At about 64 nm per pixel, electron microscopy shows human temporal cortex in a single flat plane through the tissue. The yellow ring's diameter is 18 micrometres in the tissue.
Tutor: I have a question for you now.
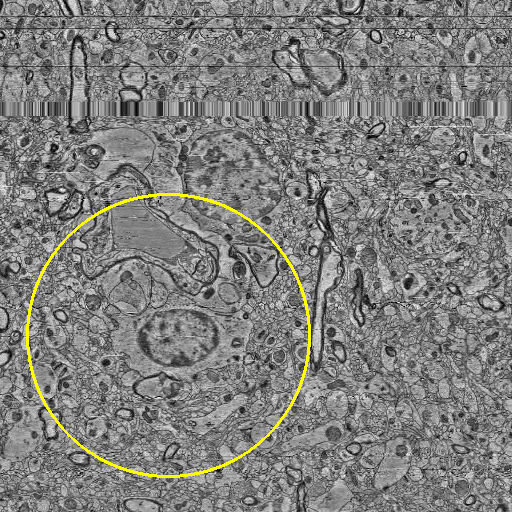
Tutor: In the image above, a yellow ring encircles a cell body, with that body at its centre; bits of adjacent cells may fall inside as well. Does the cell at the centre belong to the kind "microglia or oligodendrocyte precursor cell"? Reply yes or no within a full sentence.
Yes, the cell at the centre of the yellow ring in the picture is of that kind.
